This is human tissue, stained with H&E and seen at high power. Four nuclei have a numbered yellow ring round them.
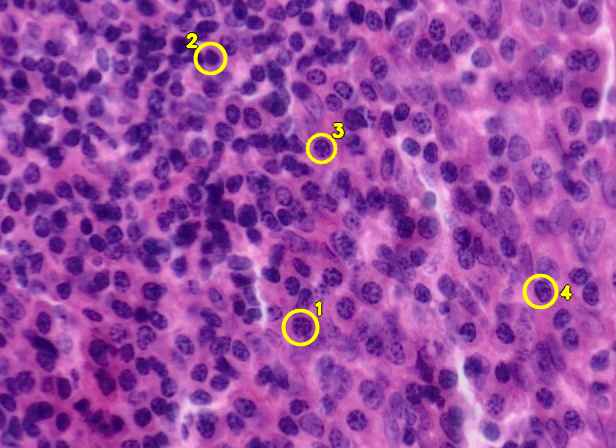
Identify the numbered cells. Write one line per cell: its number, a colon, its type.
1: plasma cell
2: small lymphocyte
3: plasma cell
4: plasma cell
